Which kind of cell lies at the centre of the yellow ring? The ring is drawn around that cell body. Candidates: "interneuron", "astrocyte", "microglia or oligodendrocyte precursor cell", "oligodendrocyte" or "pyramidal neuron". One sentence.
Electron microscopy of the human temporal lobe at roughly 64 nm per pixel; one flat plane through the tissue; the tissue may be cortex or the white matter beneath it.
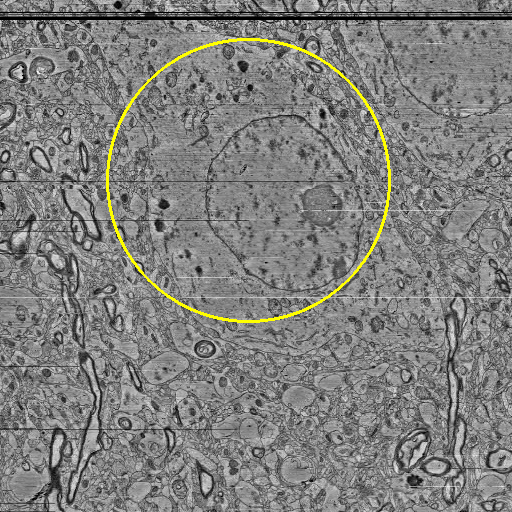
Lying at the centre of the ring is a pyramidal neuron.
